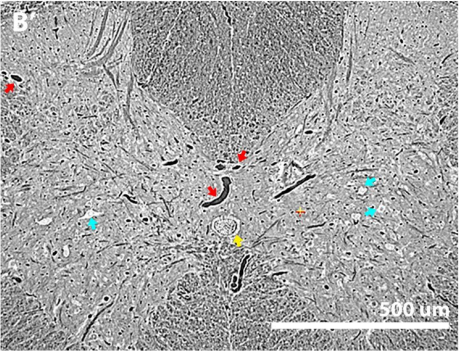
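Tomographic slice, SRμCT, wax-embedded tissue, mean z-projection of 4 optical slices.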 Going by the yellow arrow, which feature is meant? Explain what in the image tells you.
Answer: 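A small ring-shaped profile lies at the midline. It sits in the grey matter below the darker-textured dorsal region. The answer: central canal.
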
